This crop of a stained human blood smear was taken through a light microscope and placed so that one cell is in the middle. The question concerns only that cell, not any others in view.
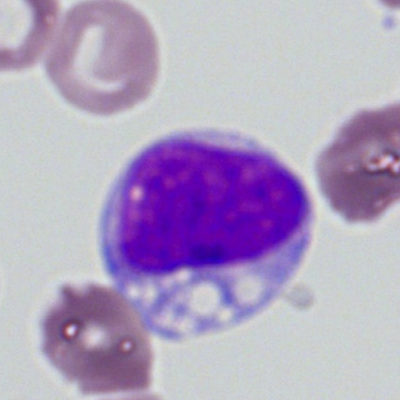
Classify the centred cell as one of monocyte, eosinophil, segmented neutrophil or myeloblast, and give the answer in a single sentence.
In this crop, the cell at the very middle is a monocyte.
